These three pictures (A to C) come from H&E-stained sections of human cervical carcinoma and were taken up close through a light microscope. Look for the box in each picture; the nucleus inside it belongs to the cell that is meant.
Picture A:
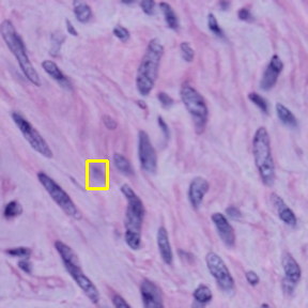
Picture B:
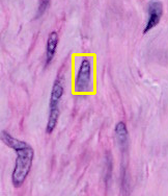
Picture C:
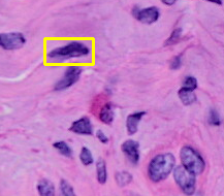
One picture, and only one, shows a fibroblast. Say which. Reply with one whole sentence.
The fibroblast is the one in picture C.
